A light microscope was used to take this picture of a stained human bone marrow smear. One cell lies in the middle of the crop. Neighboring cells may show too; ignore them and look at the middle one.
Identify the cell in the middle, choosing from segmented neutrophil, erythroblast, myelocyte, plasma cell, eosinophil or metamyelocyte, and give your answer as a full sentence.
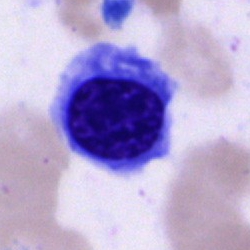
The cell in the middle of this crop is an erythroblast.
